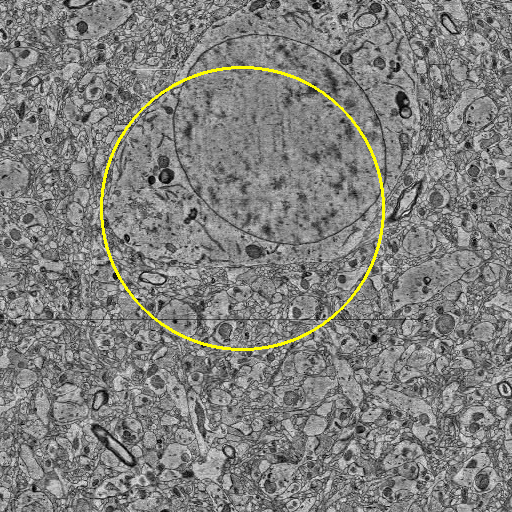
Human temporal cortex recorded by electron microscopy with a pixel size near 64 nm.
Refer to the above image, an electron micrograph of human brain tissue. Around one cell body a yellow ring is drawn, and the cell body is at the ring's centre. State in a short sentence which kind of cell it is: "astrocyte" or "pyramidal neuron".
The centre of the ring falls on a pyramidal neuron.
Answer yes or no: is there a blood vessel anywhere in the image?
No, there is no blood vessel in the image.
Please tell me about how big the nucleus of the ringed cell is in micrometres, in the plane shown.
In this plane, about 15 micrometres in length and 13 in width.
